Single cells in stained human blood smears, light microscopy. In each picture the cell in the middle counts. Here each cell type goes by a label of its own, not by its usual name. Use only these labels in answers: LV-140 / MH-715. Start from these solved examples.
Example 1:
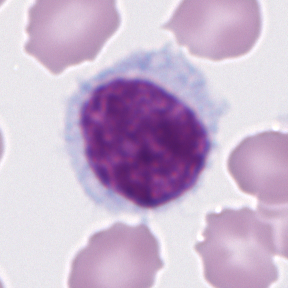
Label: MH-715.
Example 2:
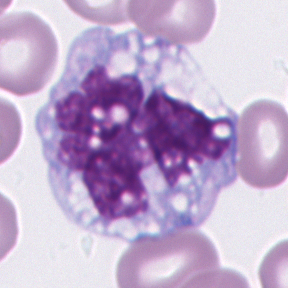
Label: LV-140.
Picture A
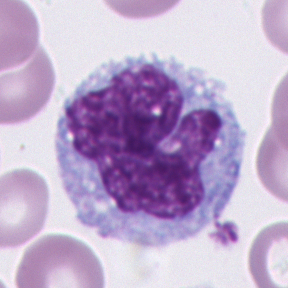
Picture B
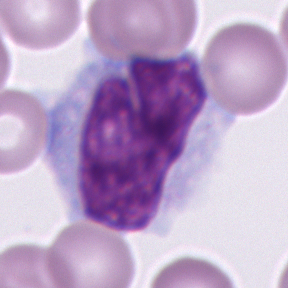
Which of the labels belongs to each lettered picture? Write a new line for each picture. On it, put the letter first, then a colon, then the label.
A: LV-140.
B: LV-140.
